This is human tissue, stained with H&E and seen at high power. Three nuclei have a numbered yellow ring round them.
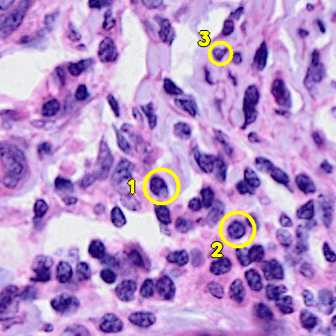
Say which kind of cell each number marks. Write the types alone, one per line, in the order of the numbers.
lymphocyte
lymphocyte
fibroblast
